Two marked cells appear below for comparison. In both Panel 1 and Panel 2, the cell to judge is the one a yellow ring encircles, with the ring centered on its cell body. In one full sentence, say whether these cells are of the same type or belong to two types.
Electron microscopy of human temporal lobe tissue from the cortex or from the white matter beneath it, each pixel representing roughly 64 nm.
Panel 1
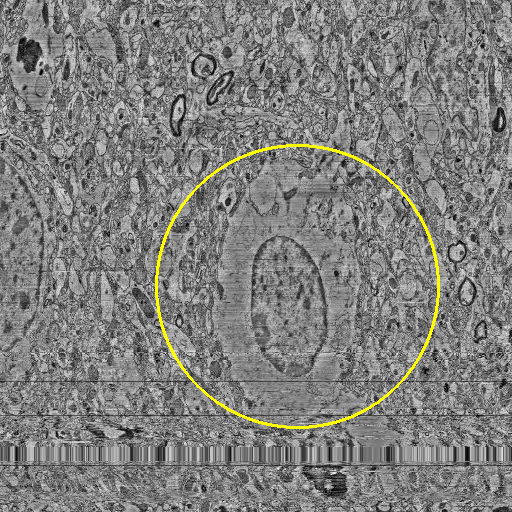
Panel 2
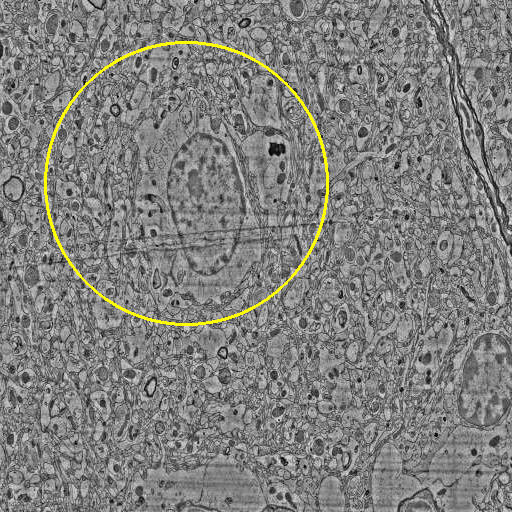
The cell centered in the Panel 1 ring and the one in Panel 2 are of the same type.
